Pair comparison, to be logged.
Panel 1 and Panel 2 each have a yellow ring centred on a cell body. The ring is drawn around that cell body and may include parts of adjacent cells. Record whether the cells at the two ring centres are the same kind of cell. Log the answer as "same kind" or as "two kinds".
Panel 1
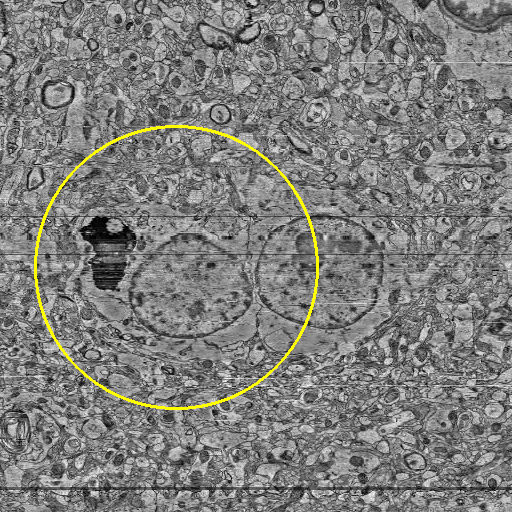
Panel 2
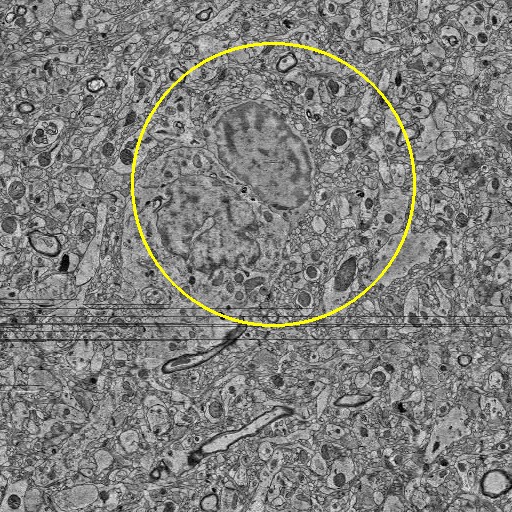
two kinds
